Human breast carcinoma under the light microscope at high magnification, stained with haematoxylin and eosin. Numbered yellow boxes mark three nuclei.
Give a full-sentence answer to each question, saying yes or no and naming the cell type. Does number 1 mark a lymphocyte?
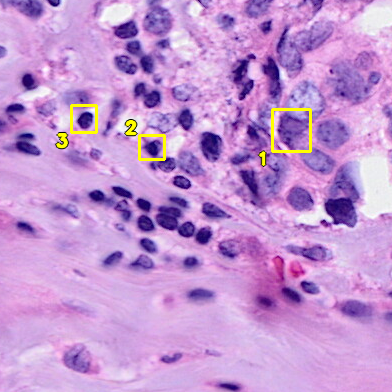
No, cell 1 isn't a lymphocyte; it's a carcinoma cell.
